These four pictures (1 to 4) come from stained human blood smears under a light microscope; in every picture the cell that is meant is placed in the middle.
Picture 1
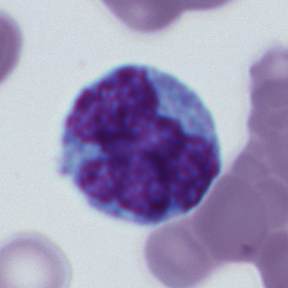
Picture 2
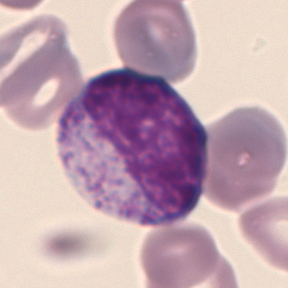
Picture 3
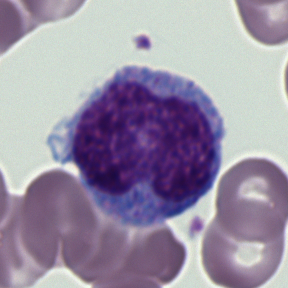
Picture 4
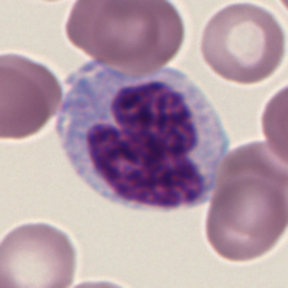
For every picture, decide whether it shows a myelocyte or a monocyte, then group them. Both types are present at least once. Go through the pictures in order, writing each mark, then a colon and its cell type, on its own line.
1: monocyte
2: myelocyte
3: monocyte
4: monocyte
